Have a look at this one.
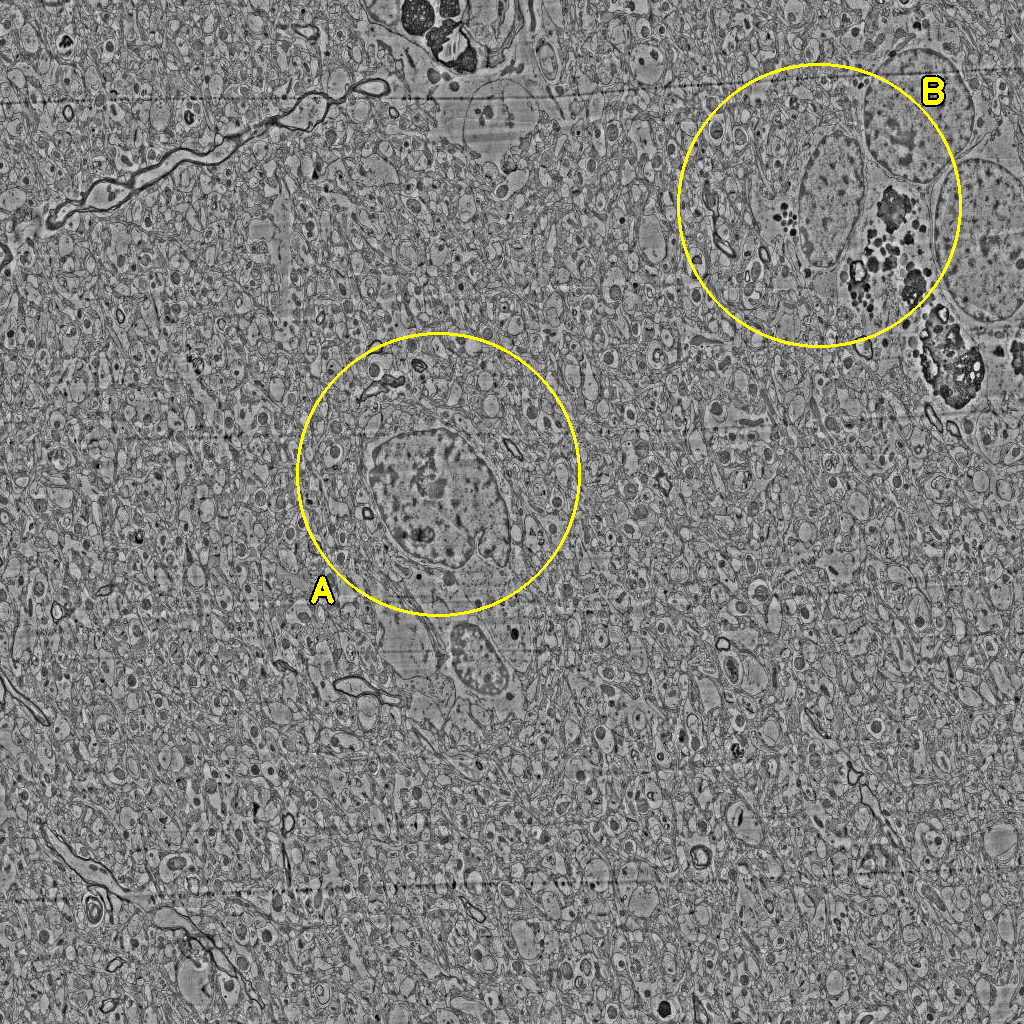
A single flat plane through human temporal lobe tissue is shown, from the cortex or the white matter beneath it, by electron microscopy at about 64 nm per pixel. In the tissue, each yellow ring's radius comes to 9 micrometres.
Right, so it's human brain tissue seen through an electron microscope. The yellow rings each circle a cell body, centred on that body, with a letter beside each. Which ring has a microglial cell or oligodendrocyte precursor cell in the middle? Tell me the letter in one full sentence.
That kind of cell is sitting in the middle of ring A there.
